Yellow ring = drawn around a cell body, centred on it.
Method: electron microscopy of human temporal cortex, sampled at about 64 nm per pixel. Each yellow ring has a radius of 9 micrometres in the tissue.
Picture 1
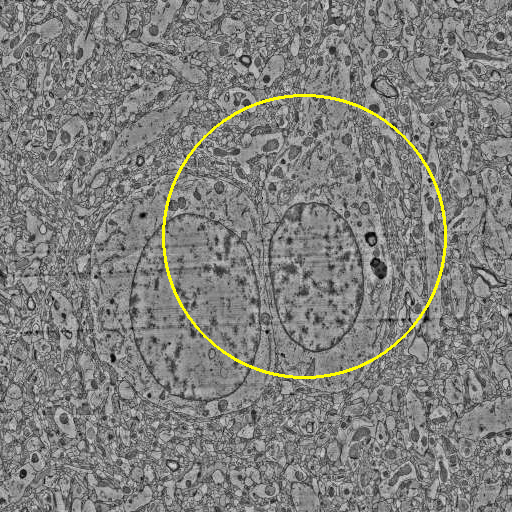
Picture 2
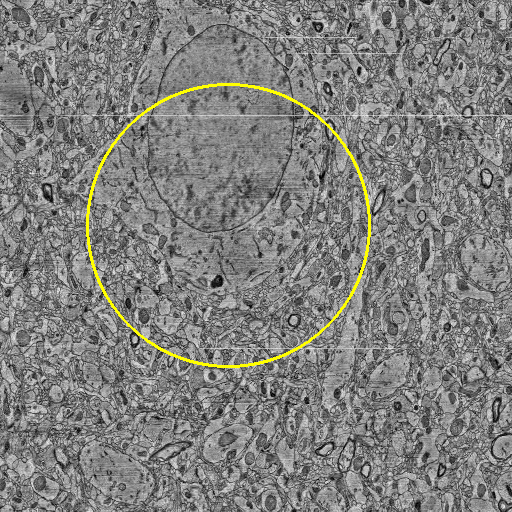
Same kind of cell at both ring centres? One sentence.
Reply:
Yes, they are the same kind of cell.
